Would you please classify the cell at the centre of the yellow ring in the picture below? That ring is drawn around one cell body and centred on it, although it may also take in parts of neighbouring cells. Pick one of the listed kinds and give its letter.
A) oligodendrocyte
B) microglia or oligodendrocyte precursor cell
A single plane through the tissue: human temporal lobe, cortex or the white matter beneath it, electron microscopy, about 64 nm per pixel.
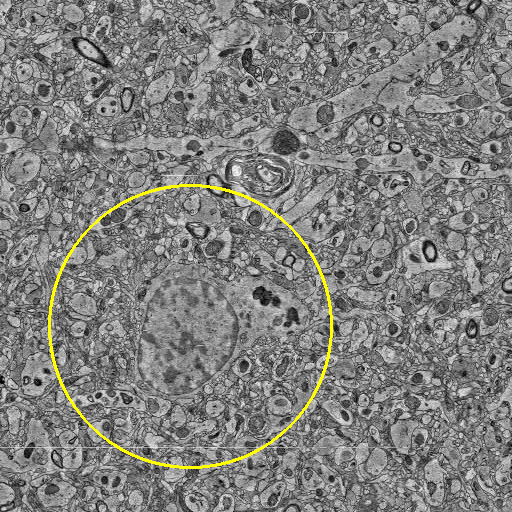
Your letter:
A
